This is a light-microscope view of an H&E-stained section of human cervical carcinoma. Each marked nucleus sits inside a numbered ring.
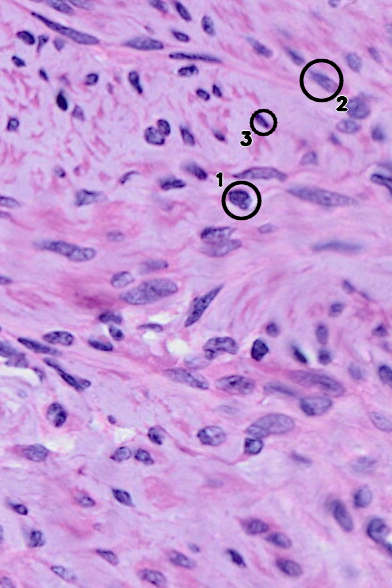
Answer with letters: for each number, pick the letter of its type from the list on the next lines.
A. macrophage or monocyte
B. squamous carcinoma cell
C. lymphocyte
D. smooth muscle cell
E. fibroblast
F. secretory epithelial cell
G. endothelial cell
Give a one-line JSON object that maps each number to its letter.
{"1": "C", "2": "D", "3": "D"}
